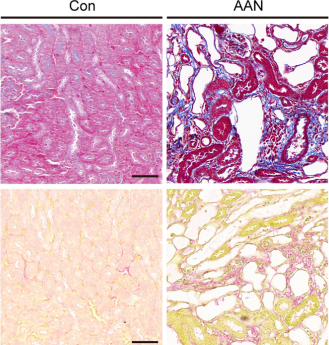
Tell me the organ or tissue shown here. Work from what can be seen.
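Renal parenchyma. Closely packed tubular profiles cut in cross and oblique section fill the left-hand images.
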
